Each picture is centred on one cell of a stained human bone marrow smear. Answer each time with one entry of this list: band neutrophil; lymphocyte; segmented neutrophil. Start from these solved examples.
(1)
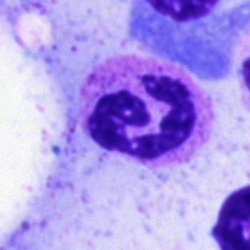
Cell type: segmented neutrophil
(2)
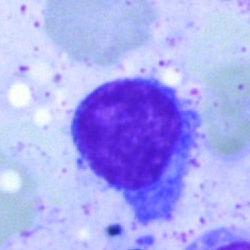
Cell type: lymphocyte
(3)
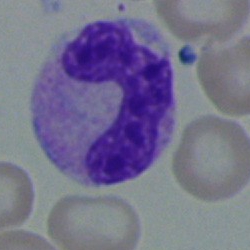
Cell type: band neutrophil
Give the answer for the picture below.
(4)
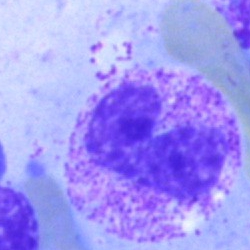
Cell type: band neutrophil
